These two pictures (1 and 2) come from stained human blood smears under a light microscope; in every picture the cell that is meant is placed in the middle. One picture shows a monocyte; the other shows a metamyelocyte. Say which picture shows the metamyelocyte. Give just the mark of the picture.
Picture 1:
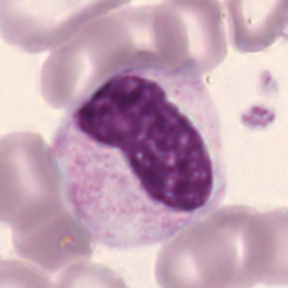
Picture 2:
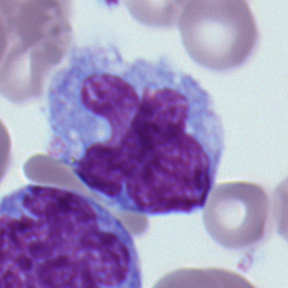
1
